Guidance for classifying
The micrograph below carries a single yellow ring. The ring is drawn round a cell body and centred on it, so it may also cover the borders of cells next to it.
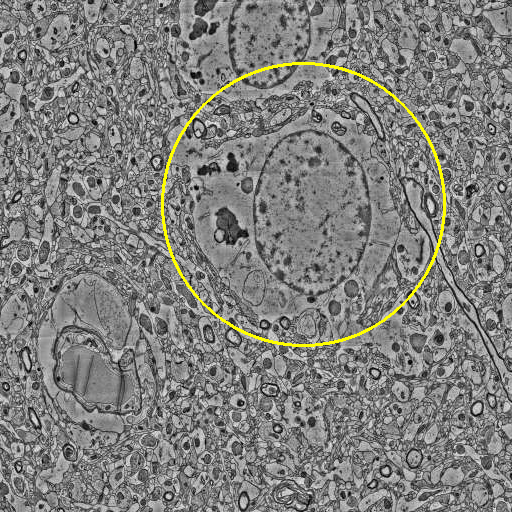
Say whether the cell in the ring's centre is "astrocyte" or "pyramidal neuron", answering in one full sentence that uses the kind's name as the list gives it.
Within the yellow ring, an astrocyte is the cell whose body sits at the centre.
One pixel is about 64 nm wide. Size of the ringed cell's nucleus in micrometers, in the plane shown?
About 11 by 8 micrometers for the nucleus, in this plane.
